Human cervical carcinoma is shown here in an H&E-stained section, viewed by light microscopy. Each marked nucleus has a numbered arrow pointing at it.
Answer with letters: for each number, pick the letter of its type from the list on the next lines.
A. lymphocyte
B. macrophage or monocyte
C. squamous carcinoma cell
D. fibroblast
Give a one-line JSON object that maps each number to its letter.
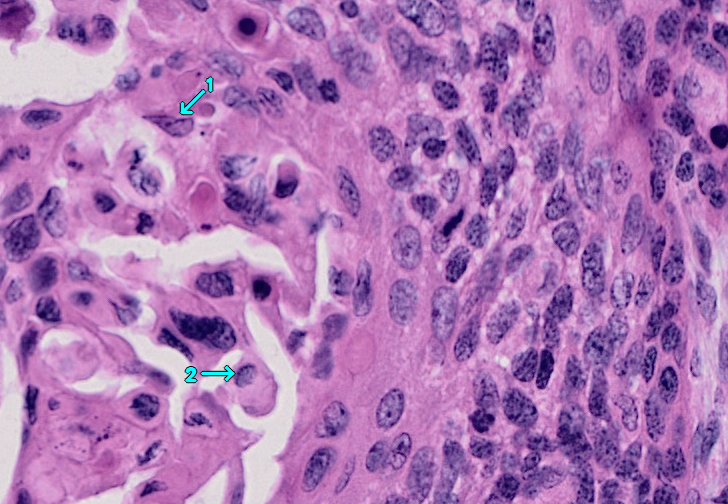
{"1": "B", "2": "C"}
